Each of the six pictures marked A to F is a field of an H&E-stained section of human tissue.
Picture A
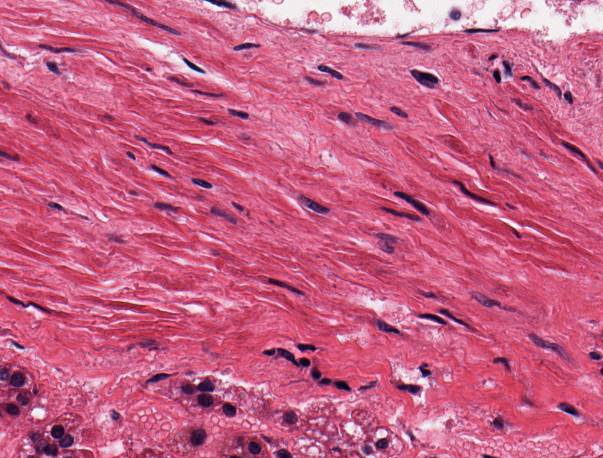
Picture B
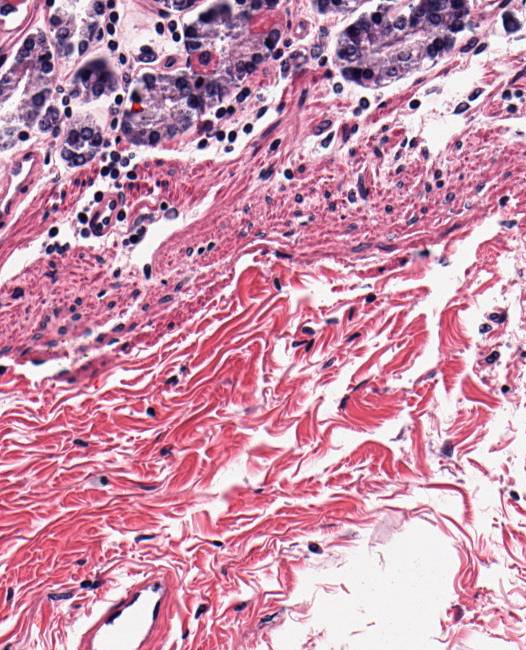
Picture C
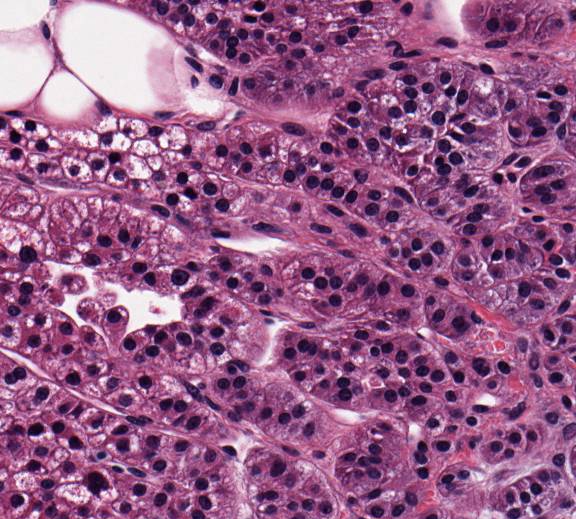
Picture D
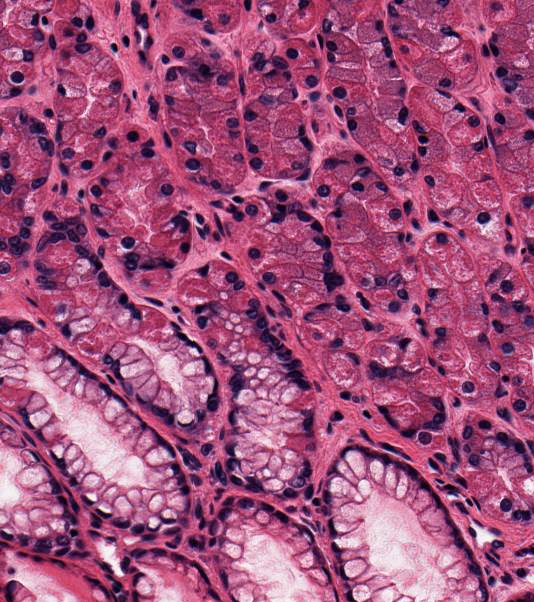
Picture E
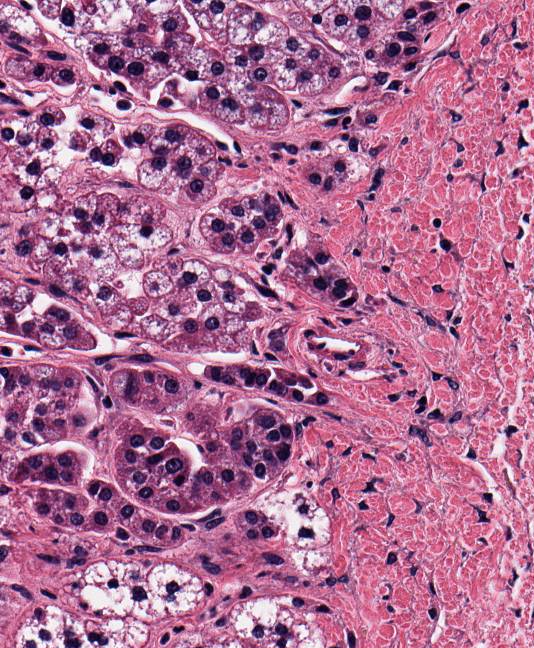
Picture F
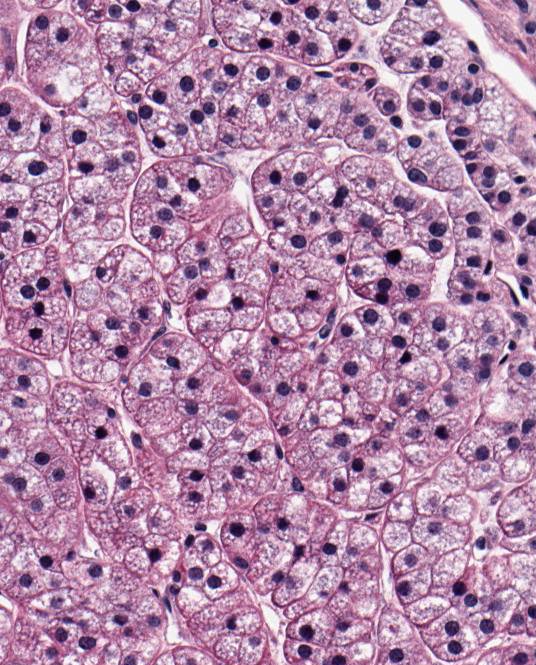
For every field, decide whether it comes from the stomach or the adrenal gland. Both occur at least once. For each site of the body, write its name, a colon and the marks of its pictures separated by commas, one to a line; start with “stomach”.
stomach: B, D
adrenal gland: A, C, E, F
